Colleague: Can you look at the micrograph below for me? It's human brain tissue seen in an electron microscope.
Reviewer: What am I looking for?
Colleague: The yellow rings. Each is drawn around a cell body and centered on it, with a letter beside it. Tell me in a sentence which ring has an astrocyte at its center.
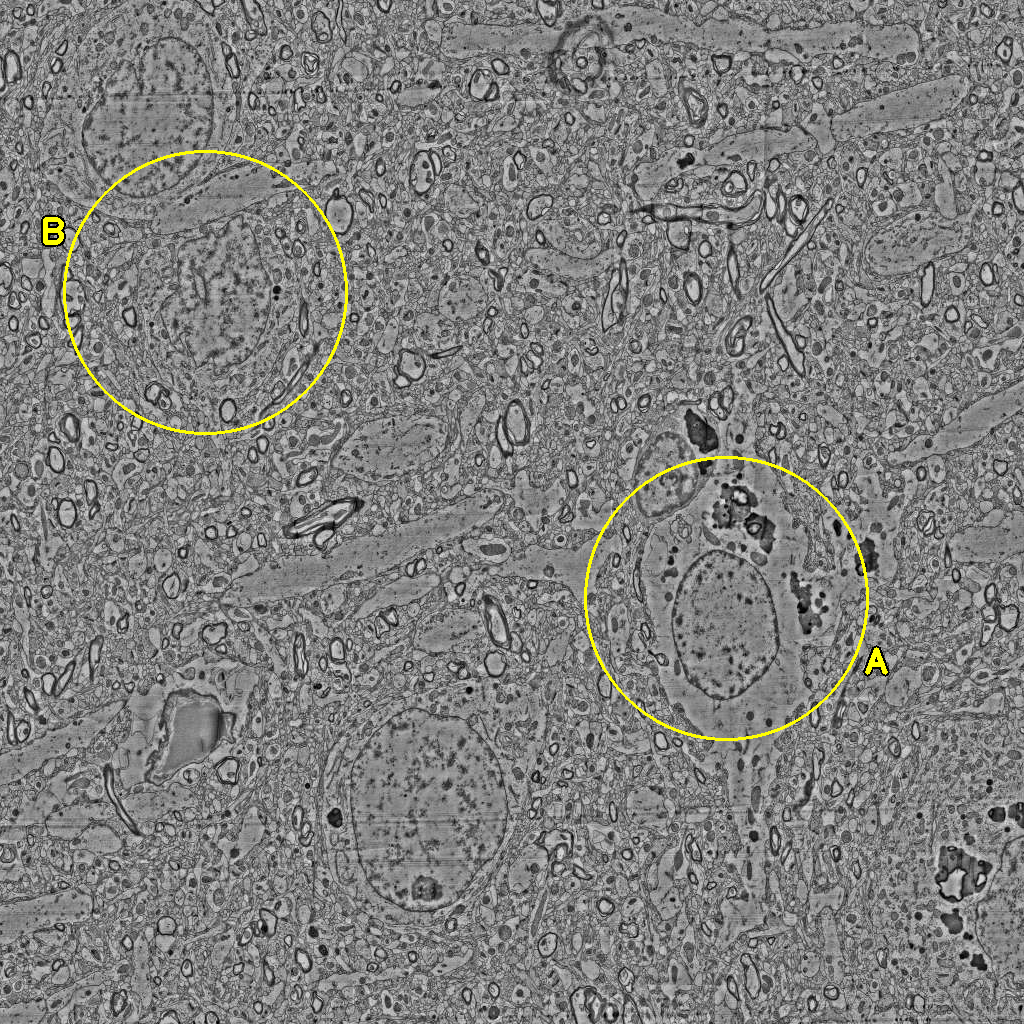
It's the cell in ring A.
